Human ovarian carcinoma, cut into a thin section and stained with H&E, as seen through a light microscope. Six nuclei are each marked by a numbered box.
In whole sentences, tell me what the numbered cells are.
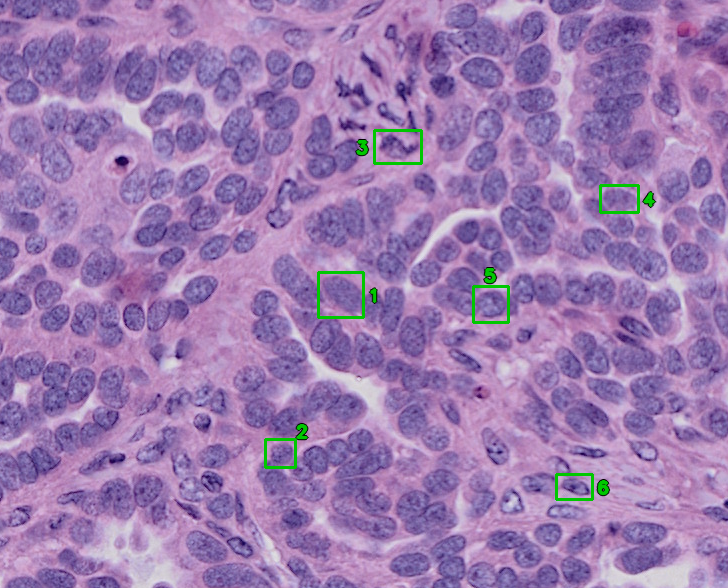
Cell 1 is a carcinoma cell, cell 2 is a carcinoma cell, cell 3 is a fibroblast, cell 4 is a carcinoma cell, cell 5 is a carcinoma cell and cell 6 is a fibroblast.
